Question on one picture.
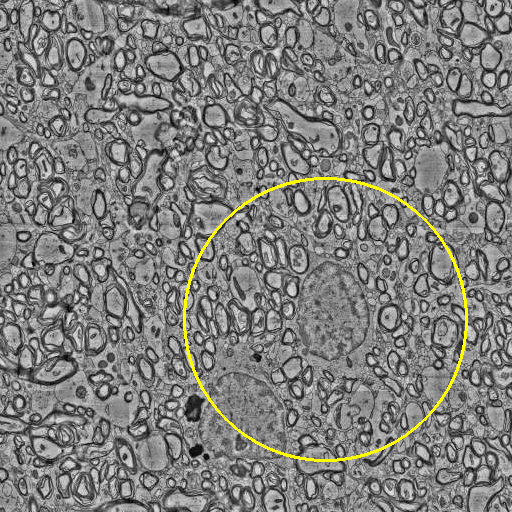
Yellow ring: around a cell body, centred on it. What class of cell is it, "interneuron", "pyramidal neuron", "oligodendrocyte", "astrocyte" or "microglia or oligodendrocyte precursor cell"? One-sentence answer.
This is an oligodendrocyte, the cell the ring is centred on.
